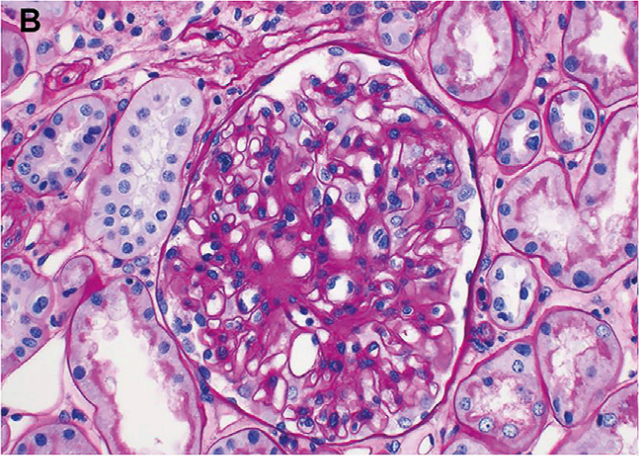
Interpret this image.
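A large glomerulus fills the centre of the field, with renal tubules all around it. Its tuft is crowded and stains deeply magenta. The capillary loops have thick-looking walls and there is abundant magenta material between them, so many capillary lumens appear small or narrowed. Numerous dark blue nuclei are packed within the tuft, and only a thin rim of clear space remains inside the capsule. The neighbouring tubules are lined by cuboidal cells with round nuclei and pale cytoplasm on magenta basement membranes.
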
